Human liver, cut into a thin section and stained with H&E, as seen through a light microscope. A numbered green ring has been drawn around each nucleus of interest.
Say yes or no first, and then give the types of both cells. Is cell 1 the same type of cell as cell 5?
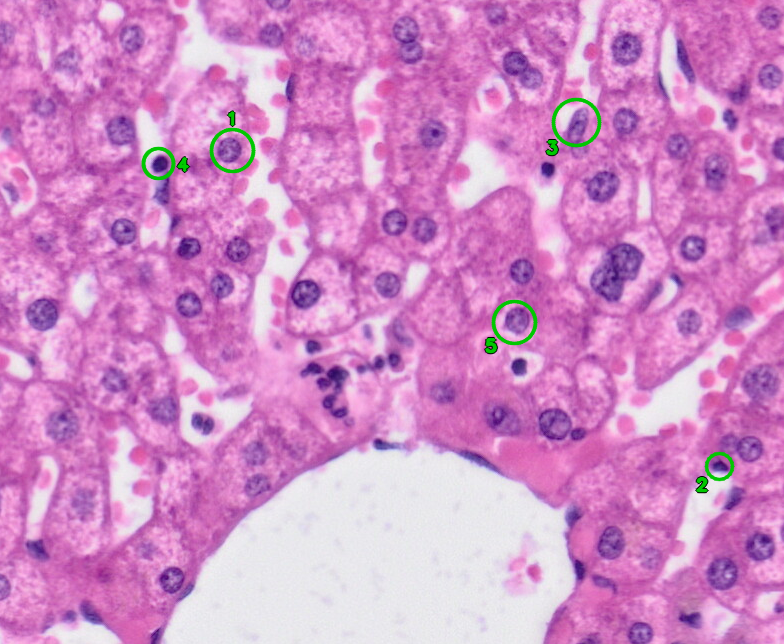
Yes, both are hepatocytes.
